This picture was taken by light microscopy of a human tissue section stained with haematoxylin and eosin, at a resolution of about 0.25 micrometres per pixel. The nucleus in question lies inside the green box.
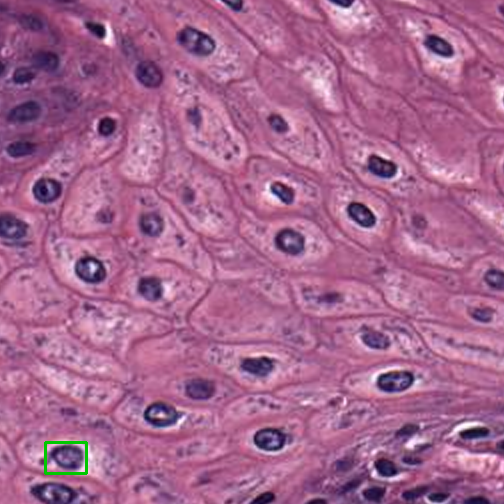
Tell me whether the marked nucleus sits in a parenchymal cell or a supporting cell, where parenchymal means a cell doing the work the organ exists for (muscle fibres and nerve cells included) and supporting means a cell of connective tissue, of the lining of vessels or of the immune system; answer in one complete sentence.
The marked nucleus is carried by a parenchymal cell, namely a squamous epithelial cell.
